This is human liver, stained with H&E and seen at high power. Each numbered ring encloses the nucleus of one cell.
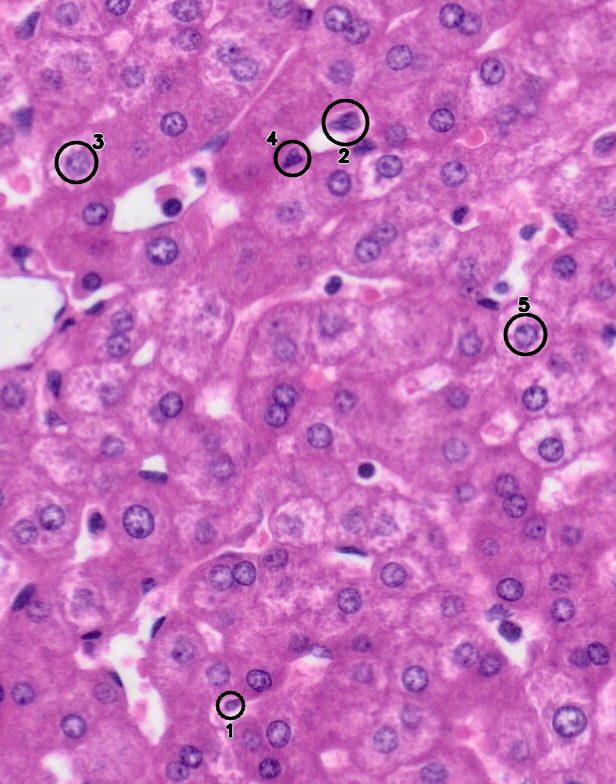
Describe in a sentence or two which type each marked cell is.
Cell 1 is a Kupffer cell, cell 2 is a Kupffer cell, cell 3 is a hepatocyte, cell 4 is a fibroblast or stellate cell and cell 5 is a hepatocyte.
